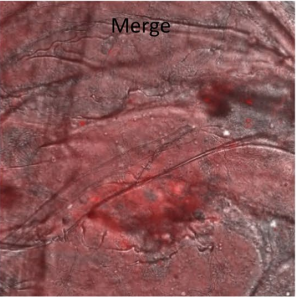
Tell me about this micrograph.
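The surface is thrown into irregular folds and creases, visible as dark, branching lines running diagonally and across the field. Darker, denser patches lie in the centre and upper right. The red fluorescence is diffuse over the tissue, somewhat stronger in a central area, with a few small bright dots.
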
